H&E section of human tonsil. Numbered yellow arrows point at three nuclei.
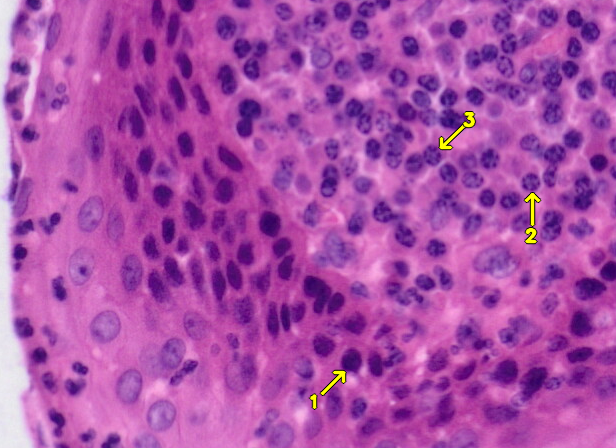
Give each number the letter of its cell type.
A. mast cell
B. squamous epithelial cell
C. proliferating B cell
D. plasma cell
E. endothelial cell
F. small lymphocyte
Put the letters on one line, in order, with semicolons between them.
B; D; D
